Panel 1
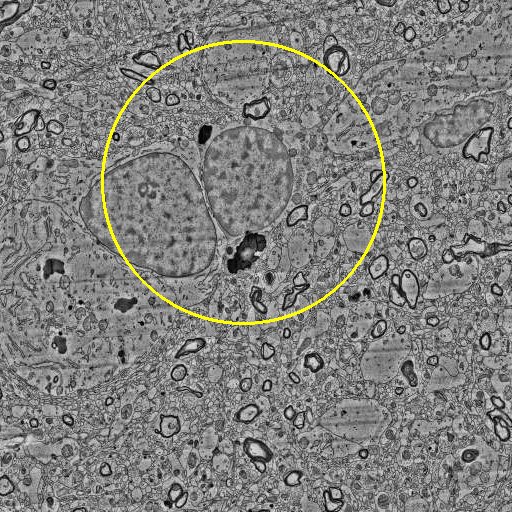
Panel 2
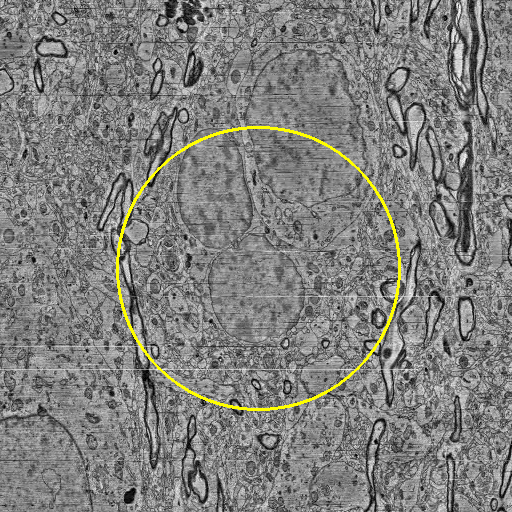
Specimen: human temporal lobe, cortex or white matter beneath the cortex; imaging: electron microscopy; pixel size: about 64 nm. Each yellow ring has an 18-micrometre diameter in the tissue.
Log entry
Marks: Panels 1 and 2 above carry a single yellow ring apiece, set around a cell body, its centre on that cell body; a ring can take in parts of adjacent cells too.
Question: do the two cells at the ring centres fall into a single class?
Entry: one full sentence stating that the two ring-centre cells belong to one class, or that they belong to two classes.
The two ring-centre cells in Panels 1 and 2 belong to one class.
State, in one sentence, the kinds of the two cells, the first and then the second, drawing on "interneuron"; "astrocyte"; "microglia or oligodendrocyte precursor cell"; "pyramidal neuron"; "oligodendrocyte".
Each of the two rings is centred on an oligodendrocyte.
